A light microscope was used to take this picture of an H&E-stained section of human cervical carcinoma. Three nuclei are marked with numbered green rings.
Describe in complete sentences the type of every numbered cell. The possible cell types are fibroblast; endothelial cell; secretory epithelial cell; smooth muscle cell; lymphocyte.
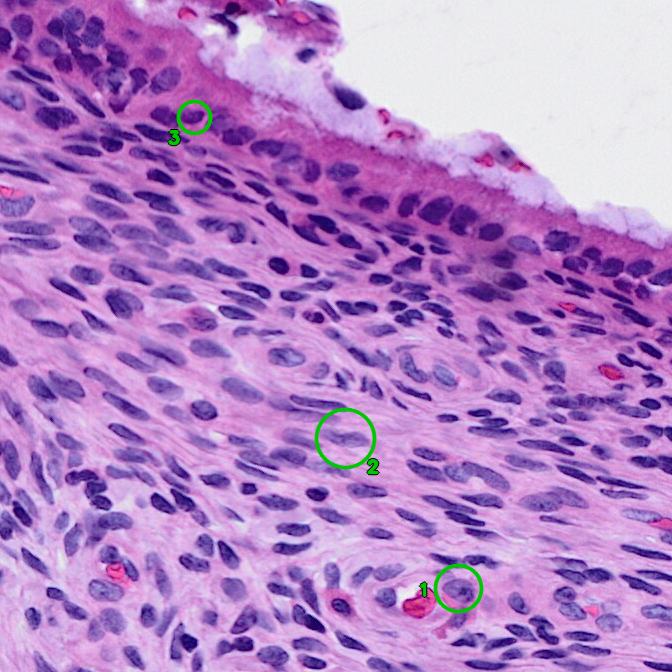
Cell 1 is an endothelial cell. Cell 2 is a fibroblast. Cell 3 is a secretory epithelial cell.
